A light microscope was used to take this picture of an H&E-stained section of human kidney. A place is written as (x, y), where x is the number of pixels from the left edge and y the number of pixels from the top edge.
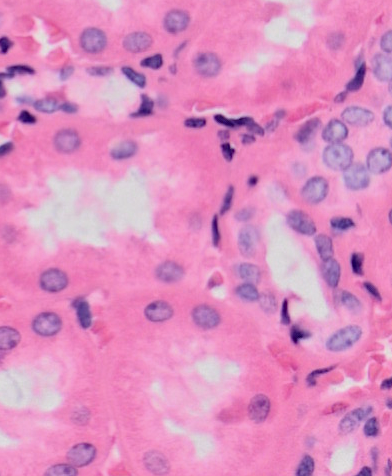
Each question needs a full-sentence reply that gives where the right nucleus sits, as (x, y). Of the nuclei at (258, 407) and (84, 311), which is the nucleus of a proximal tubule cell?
The one nucleus of the two that belongs to a proximal tubule cell is at (258, 407).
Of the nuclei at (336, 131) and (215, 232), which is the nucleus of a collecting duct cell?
The nucleus that belongs to a collecting duct cell is located at (336, 131).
